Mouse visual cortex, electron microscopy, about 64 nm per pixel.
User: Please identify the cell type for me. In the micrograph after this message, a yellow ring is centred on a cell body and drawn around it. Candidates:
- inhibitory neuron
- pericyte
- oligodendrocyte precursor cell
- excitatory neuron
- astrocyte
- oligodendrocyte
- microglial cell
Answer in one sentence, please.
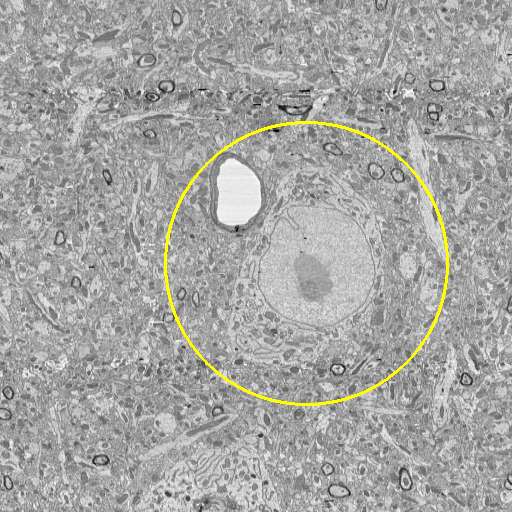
The ring is drawn around the cell body of an inhibitory neuron.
